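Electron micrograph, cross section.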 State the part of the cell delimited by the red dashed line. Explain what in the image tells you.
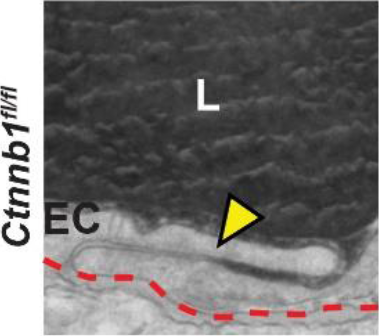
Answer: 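The red dashed line follows the lower edge of a thin cell layer. The dark-filled space lies on the opposite side of that layer.
Answer: abluminal membranes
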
